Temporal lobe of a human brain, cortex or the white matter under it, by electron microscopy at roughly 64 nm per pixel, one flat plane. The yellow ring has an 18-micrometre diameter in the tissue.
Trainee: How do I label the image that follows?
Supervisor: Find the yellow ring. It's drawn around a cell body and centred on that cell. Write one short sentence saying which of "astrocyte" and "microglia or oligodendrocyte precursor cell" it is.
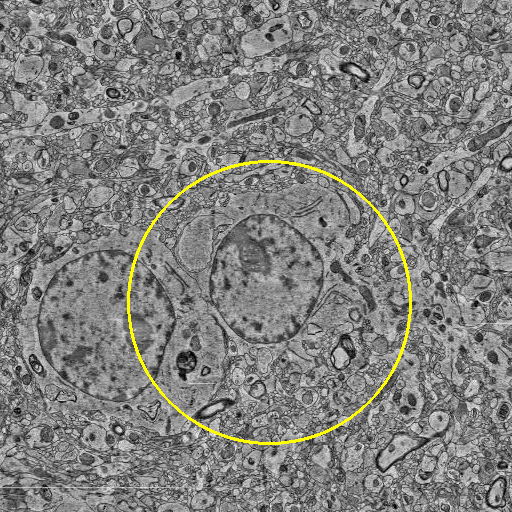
This is the cell body of an astrocyte.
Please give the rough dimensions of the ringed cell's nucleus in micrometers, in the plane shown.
In this plane, the nucleus of the cell at the centre of the ring measures about 8 by 7 micrometres.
